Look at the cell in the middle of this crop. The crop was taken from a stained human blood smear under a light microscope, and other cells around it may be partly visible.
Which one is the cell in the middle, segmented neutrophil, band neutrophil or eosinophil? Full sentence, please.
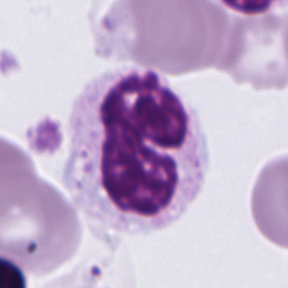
The cell of interest, in the center, is a band neutrophil.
